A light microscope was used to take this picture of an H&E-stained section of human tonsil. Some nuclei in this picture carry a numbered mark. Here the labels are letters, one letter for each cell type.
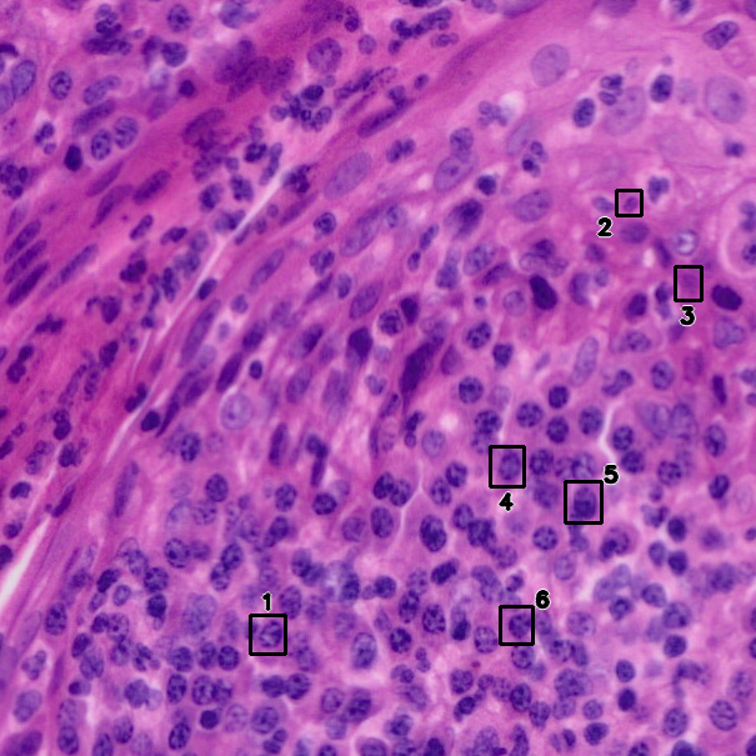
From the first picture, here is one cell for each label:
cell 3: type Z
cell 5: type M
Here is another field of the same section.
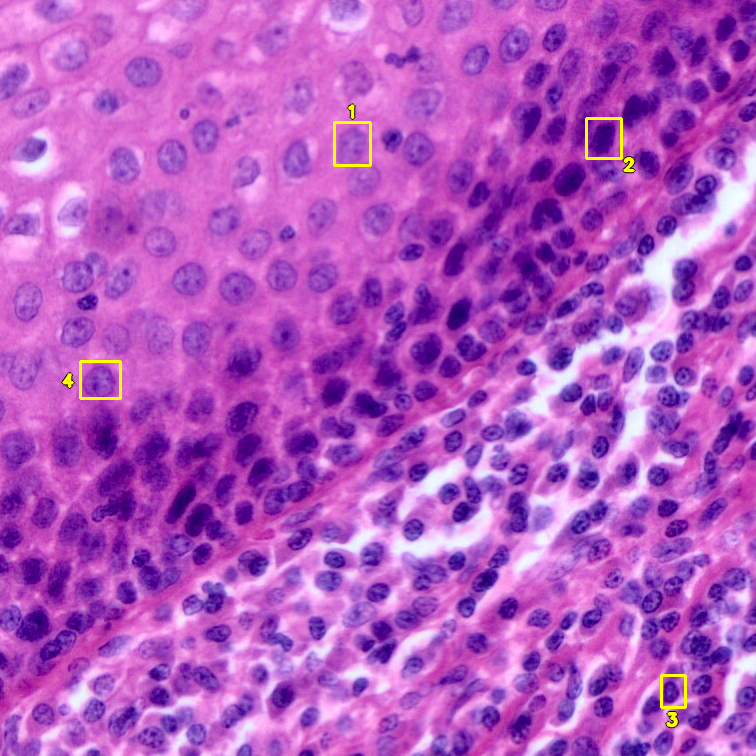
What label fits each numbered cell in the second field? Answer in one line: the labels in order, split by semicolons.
type Z; type Z; type M; type Z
